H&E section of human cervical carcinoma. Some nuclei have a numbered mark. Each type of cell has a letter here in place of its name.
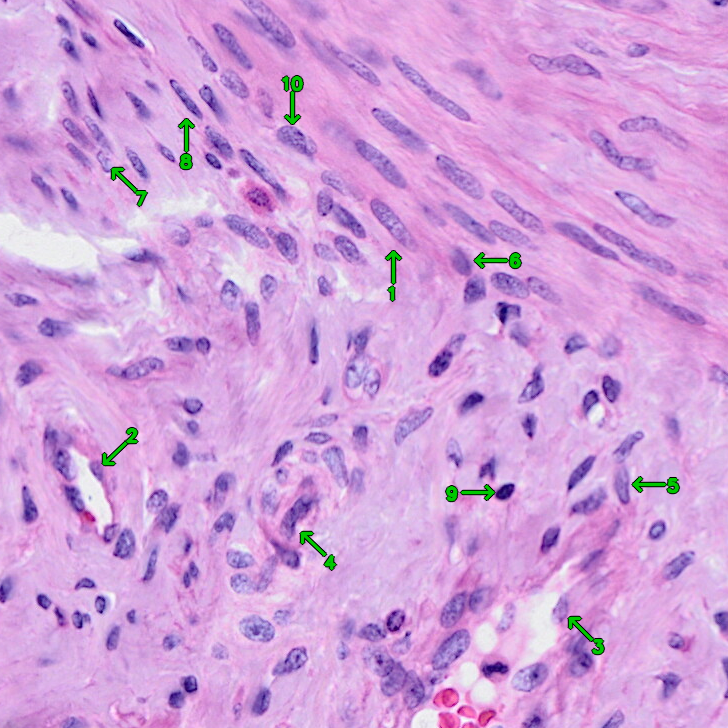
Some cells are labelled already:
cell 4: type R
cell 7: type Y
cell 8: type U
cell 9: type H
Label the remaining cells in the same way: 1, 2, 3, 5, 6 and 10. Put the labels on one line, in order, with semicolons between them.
type Y; type R; type R; type Y; type Y; type U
